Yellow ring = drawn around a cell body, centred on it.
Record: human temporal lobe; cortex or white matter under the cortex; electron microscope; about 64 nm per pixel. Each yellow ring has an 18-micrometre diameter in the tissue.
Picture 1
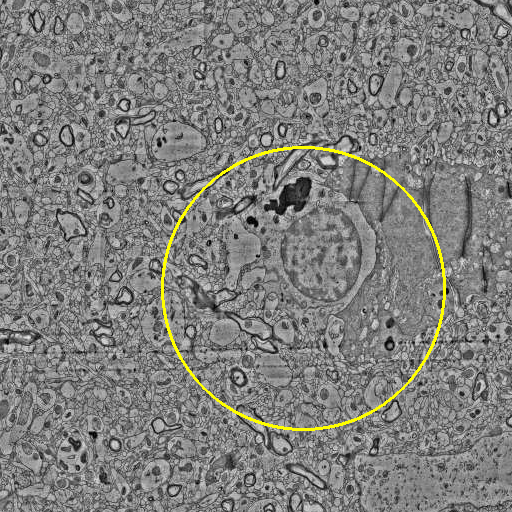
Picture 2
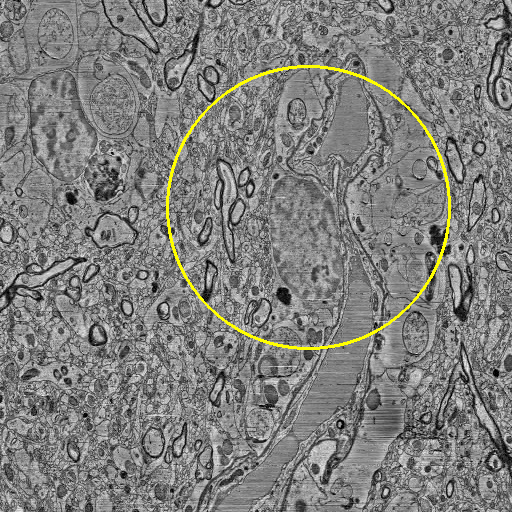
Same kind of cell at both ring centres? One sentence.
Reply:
Yes, they are the same kind of cell.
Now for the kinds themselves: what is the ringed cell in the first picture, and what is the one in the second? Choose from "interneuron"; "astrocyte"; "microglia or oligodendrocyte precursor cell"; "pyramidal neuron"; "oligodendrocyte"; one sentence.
The cell in the first picture is an oligodendrocyte, and so is the one in the second.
